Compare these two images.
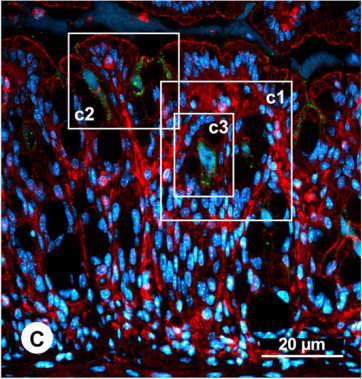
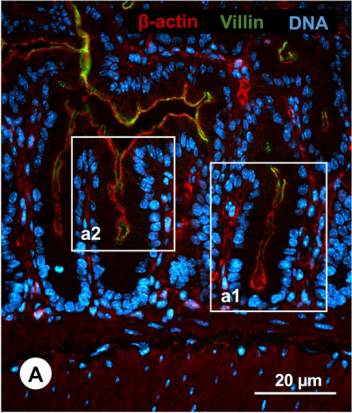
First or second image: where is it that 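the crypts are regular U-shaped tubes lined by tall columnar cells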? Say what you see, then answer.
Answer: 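First image: glands are distorted, with irregular cells and irregular lumens. Second image: glands are straight tubes with rounded bases and a narrow central lumen.
Answer: the second image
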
